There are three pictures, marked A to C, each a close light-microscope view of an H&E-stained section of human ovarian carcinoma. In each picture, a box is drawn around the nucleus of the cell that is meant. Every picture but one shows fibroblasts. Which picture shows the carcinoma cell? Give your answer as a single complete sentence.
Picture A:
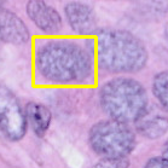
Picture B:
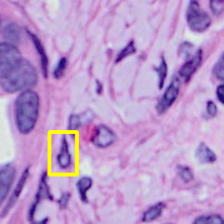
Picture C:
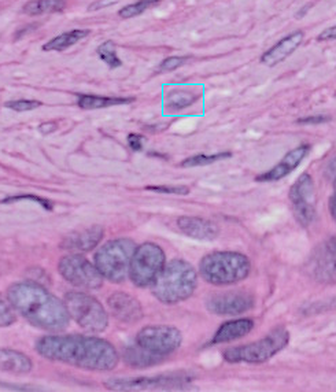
The carcinoma cell is the one in picture A.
